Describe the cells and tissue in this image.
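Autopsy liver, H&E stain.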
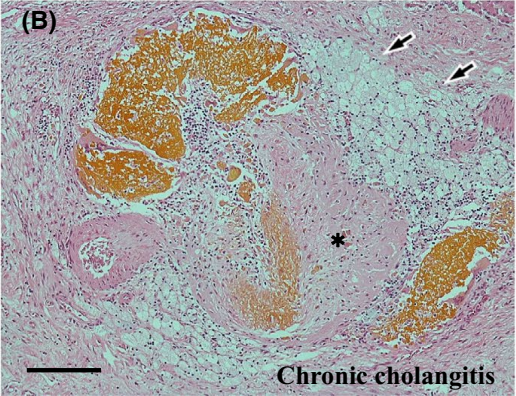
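Dense orange-brown amorphous masses lie within a duct surrounded by pink fibrous tissue, with scattered small dark round nuclei and a cluster of large pale cells with clear, bubbly cytoplasm beside them. In the centre, spindle cells and pink fibrous tissue grow into the orange-brown material. This is a bile plug with lymphocytes and foamy macrophages around it, and the plug is undergoing organization.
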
